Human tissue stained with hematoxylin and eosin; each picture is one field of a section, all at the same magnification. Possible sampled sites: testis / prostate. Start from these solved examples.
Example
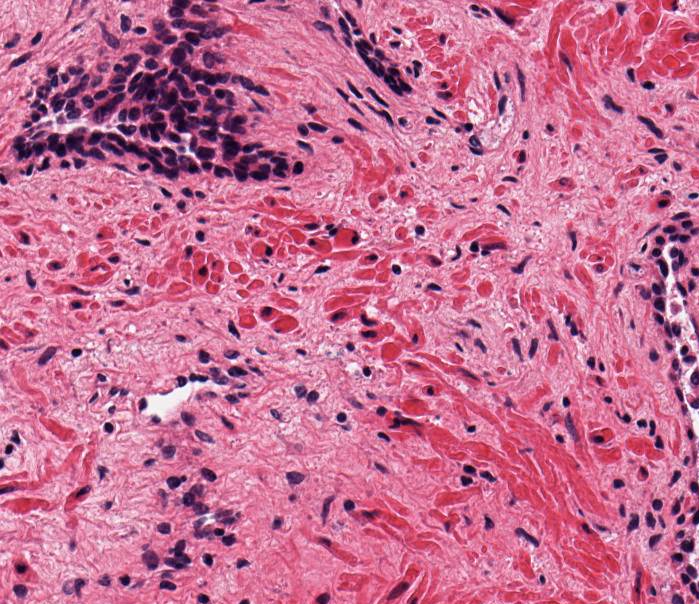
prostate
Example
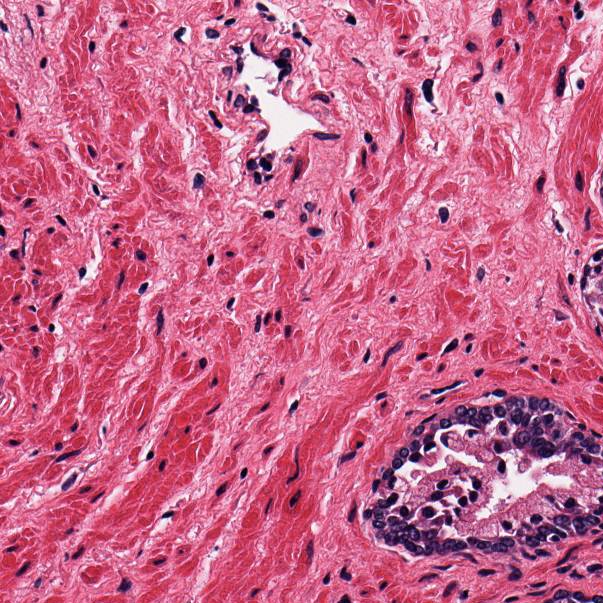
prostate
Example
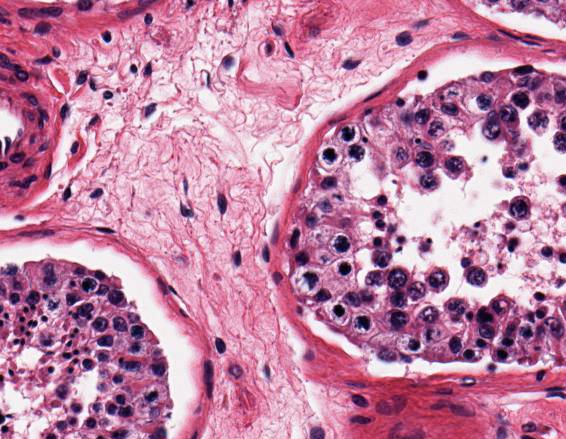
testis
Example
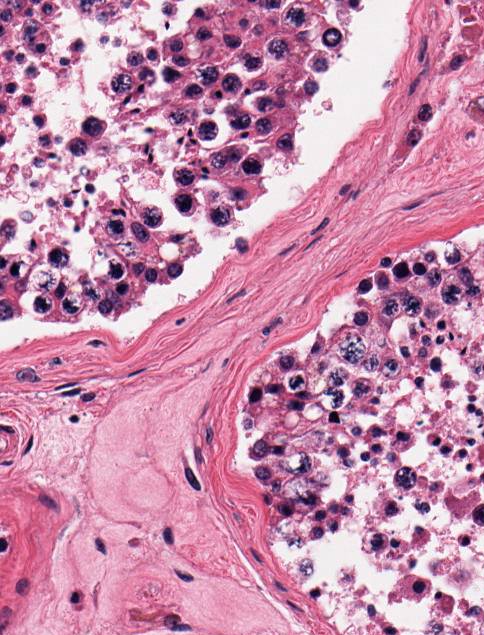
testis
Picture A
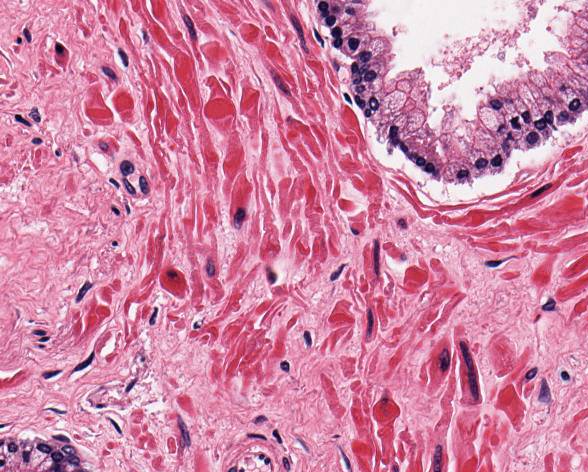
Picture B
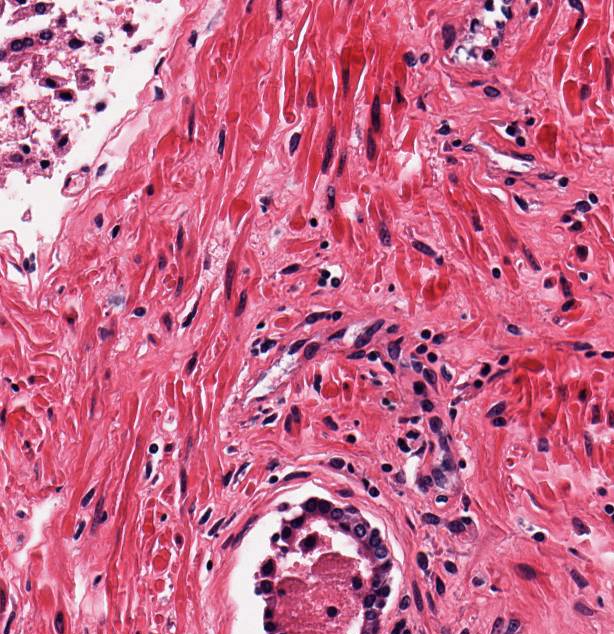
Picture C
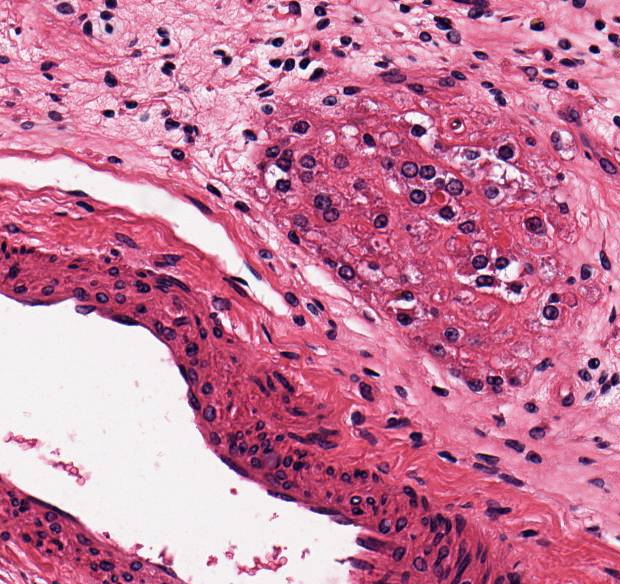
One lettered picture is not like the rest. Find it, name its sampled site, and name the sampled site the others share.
Different: C, testis. Others: prostate.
